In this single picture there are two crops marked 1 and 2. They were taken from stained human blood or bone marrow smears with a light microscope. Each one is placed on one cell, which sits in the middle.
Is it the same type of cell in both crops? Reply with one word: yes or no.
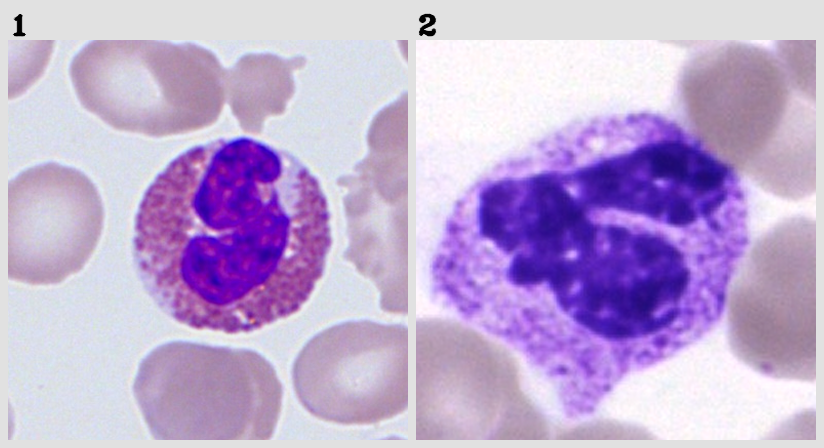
no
